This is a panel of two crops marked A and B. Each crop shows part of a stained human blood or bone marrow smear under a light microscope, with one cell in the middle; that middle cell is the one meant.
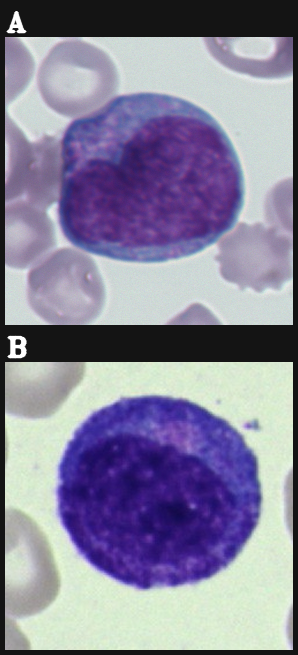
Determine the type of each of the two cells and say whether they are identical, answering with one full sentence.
Yes, both of the crops in this pair show promyelocytes, one cell in each crop.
